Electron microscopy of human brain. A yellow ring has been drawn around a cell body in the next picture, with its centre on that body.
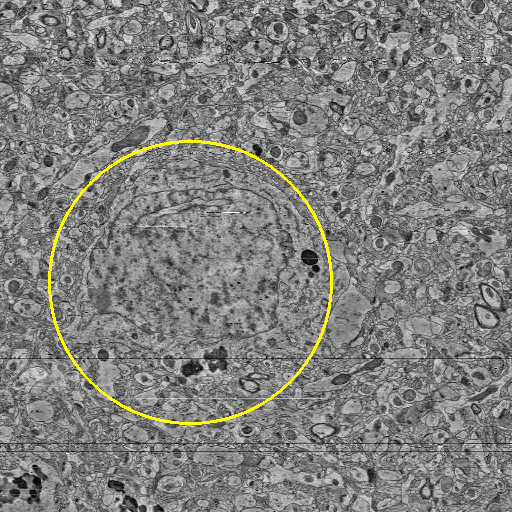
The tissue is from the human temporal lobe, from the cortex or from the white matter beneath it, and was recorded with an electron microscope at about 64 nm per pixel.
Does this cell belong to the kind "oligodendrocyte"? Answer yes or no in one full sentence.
No, the ringed cell in this picture, sitting at the ring's centre, is of another kind.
